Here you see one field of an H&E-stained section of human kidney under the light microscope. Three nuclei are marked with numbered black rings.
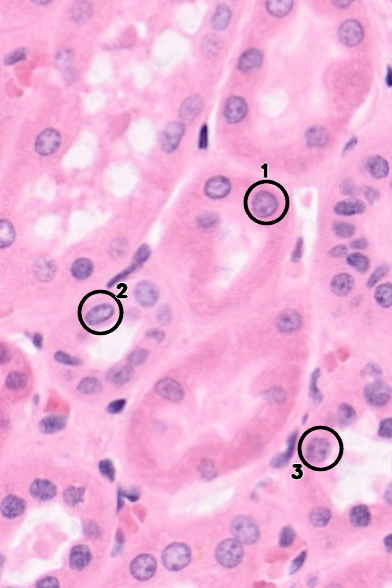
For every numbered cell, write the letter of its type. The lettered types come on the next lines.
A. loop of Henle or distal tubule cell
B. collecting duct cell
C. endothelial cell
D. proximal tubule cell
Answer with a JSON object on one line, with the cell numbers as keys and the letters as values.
{"1": "D", "2": "B", "3": "A"}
